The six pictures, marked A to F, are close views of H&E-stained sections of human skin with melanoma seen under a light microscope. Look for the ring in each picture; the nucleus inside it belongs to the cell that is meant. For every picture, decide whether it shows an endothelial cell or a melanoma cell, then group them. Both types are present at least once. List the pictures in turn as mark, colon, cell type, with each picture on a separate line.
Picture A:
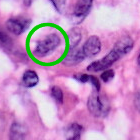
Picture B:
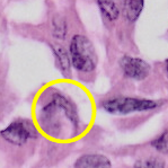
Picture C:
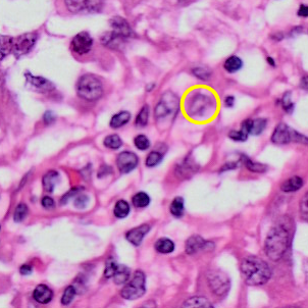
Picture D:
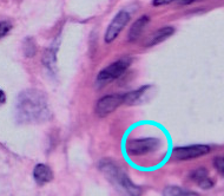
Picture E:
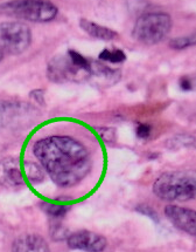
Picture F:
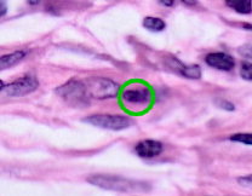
A: melanoma cell
B: melanoma cell
C: endothelial cell
D: endothelial cell
E: melanoma cell
F: endothelial cell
